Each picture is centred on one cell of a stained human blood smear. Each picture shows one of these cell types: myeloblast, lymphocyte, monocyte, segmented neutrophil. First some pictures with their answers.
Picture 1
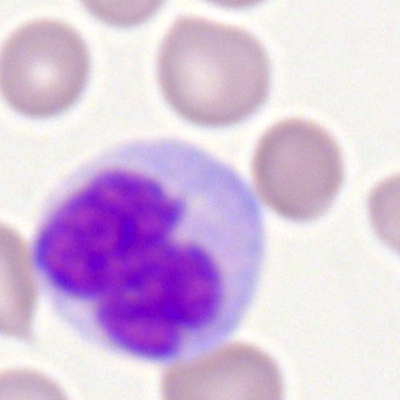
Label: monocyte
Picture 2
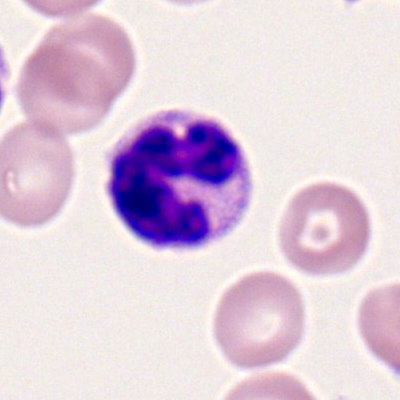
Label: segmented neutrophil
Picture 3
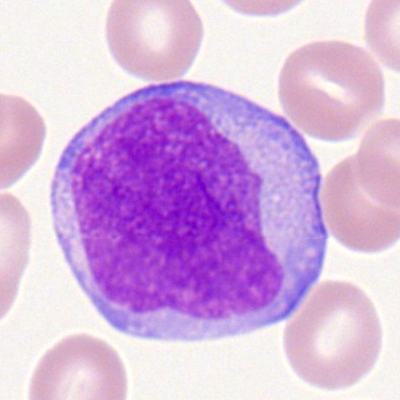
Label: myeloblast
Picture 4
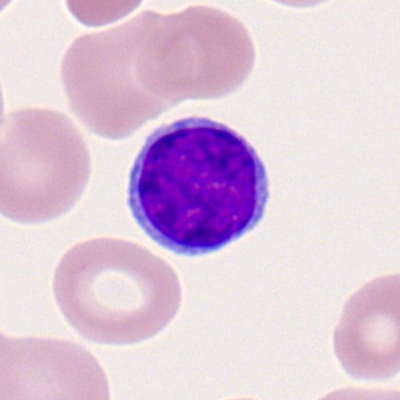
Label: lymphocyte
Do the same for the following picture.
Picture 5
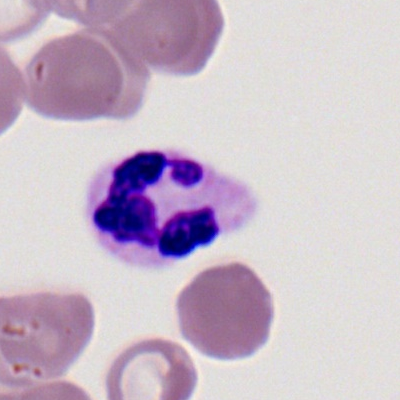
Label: segmented neutrophil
